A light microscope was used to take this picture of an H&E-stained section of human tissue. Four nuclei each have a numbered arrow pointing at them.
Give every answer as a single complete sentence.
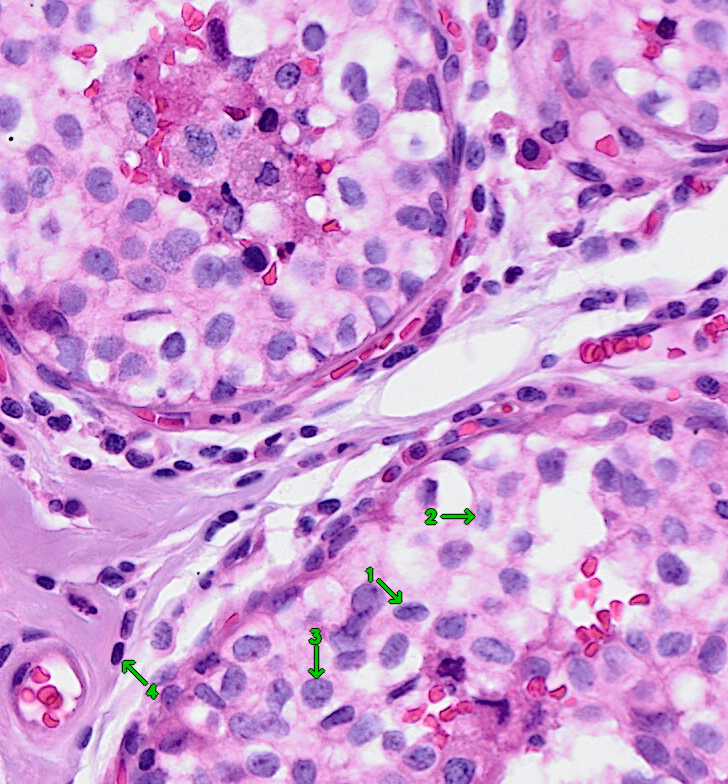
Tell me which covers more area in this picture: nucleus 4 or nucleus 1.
It is nucleus 1, which covers about 2.5 times the area of nucleus 4.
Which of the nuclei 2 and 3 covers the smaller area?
Nucleus 2 covers less area, with nucleus 3 about 2 times as large.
